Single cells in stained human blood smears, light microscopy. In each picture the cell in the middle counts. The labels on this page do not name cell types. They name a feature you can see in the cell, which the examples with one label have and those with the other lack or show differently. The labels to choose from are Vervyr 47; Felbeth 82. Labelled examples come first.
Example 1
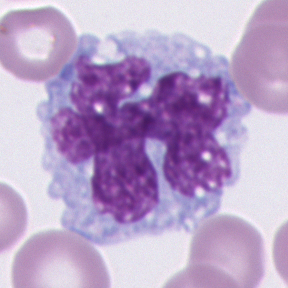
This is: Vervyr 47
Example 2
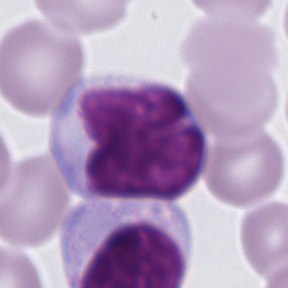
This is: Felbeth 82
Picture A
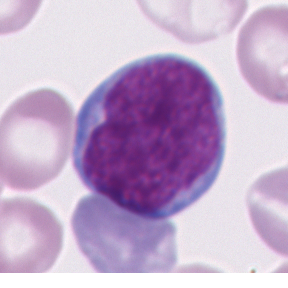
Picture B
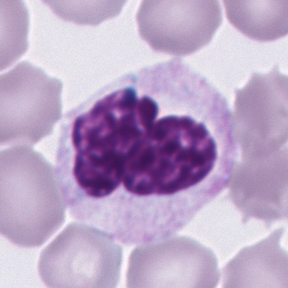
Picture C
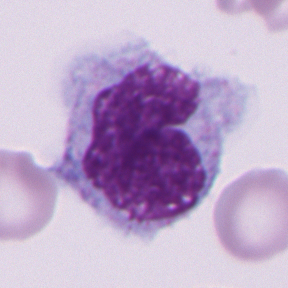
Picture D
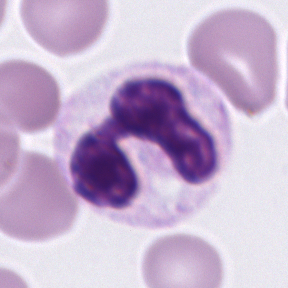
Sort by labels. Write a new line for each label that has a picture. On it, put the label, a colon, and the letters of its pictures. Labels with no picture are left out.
Vervyr 47: C
Felbeth 82: A, B, D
